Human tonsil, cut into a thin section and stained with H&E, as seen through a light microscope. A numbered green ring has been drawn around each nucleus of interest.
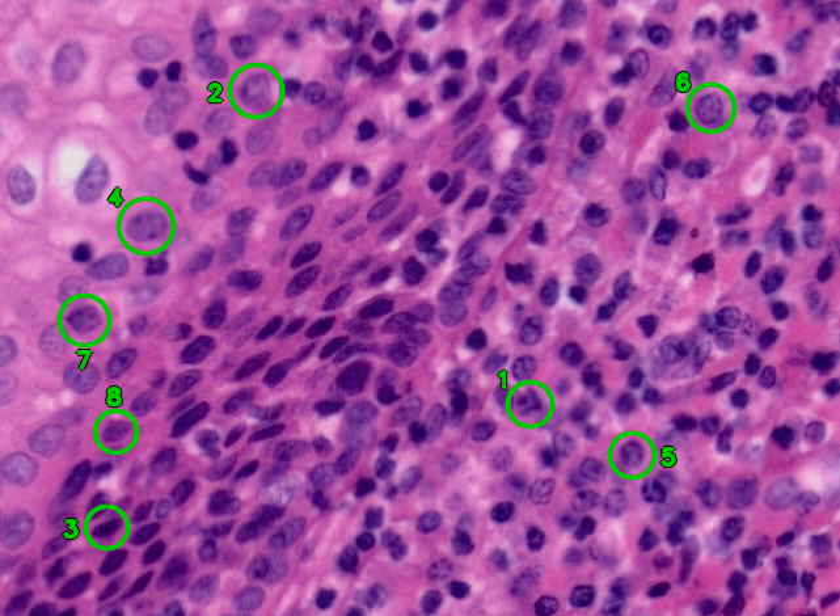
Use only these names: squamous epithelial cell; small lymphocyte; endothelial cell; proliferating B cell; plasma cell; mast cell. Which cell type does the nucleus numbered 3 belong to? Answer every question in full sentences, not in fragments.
Here the cell numbered 3 is a squamous epithelial cell.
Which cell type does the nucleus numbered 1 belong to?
Classified as a plasma cell is the cell with the number 1.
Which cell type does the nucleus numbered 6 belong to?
The cell numbered 6 represents a plasma cell.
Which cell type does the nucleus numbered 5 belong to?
The cell indicated by marker 5 is a plasma cell in this section.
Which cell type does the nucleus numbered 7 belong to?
Recognised here as a squamous epithelial cell is the cell numbered 7.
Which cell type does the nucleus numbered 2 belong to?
The cell bearing label 2 corresponds to a squamous epithelial cell.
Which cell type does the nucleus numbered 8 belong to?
At number 8, the marked cell is a squamous epithelial cell.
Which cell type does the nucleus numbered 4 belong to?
Recognised here as a squamous epithelial cell is the cell numbered 4.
